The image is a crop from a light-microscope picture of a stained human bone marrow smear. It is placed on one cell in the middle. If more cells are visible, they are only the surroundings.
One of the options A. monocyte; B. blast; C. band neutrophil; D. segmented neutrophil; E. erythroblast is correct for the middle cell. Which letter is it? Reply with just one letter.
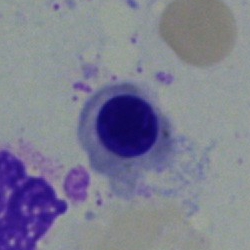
E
